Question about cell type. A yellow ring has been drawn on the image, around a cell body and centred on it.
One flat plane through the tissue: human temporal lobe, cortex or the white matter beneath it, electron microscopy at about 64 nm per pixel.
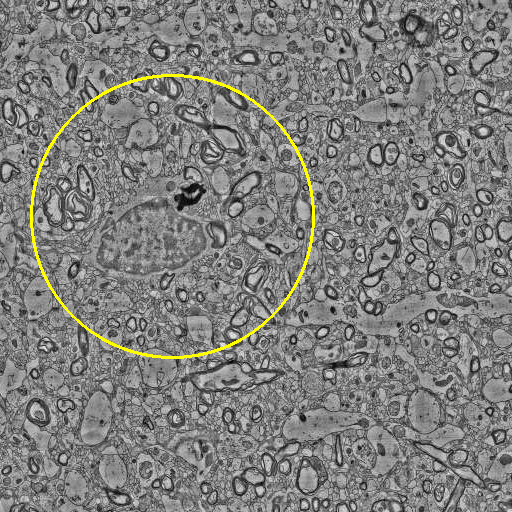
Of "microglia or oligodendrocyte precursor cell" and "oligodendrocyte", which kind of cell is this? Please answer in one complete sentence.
At the centre of the ring lies an oligodendrocyte.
